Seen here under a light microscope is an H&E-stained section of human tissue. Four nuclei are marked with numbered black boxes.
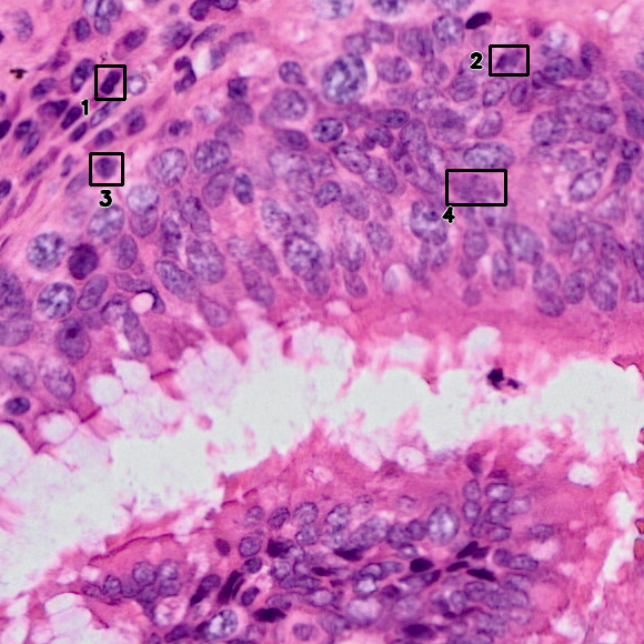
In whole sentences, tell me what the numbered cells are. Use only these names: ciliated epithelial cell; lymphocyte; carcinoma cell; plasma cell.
Cell 1 is a plasma cell. Cells 2 and 4 are ciliated epithelial cells. Cell 3 is a lymphocyte.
